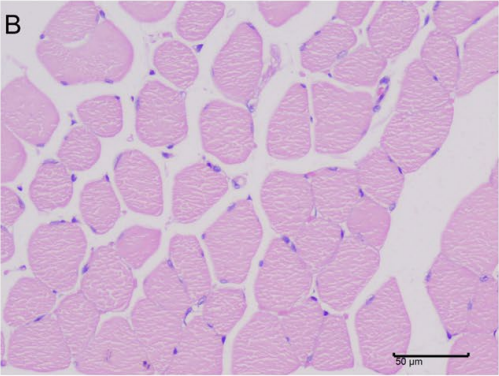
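Transverse section of skeletal muscle with rounded to polygonal muscle fibers stained pink. Fiber cytoplasm shows fine pale wavy streaks across its surface. Flattened dark purple nuclei lie at the periphery of fibers. Fibers are separated from one another by narrow pale spaces, and groups of fibers are divided by wider pale bands of connective tissue containing a few elongated nuclei. No central nuclei or inflammatory cells are apparent.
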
